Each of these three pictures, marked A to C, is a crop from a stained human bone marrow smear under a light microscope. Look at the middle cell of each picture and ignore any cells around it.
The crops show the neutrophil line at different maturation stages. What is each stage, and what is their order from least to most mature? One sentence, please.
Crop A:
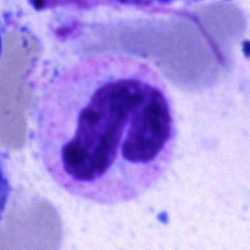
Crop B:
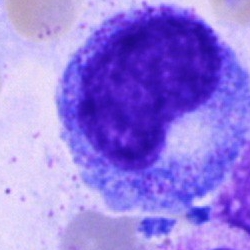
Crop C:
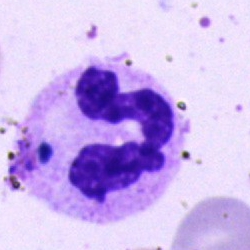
Arranged by increasing maturity, the sequence is crop B (a promyelocyte), crop A (a band neutrophil) and crop C (a segmented neutrophil).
